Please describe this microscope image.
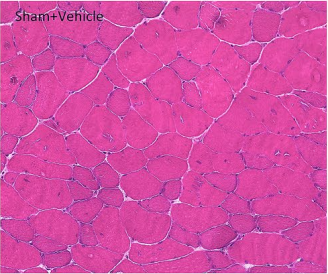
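This is a cross section of skeletal muscle, with muscle fibers cut across as closely packed polygonal pink profiles. Each fiber is separated from its neighbours by a thin pale border of connective tissue. Small dark purple nuclei sit at the edges of the fibers, just under their borders, rather than in their centres. The fibers vary somewhat in size but fit tightly together with little space between them.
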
